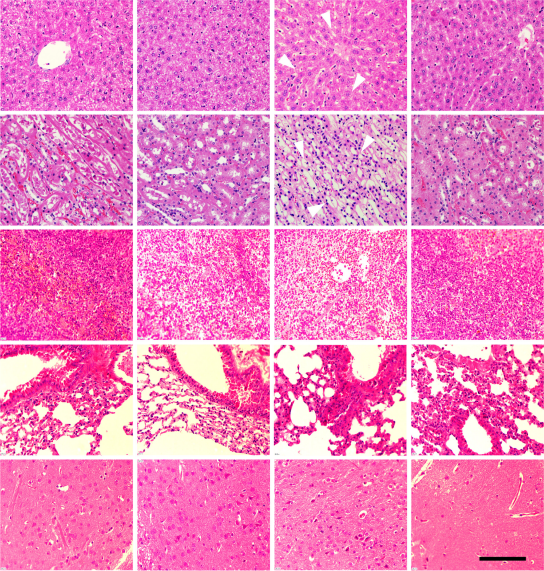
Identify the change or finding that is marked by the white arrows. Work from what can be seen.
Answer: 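Small white arrowheads sit in one liver image and one kidney image of the grid. Clear, pale, unstained spaces lie in the pink cytoplasm where the arrowheads point. That points to this answer: vacuolation.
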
